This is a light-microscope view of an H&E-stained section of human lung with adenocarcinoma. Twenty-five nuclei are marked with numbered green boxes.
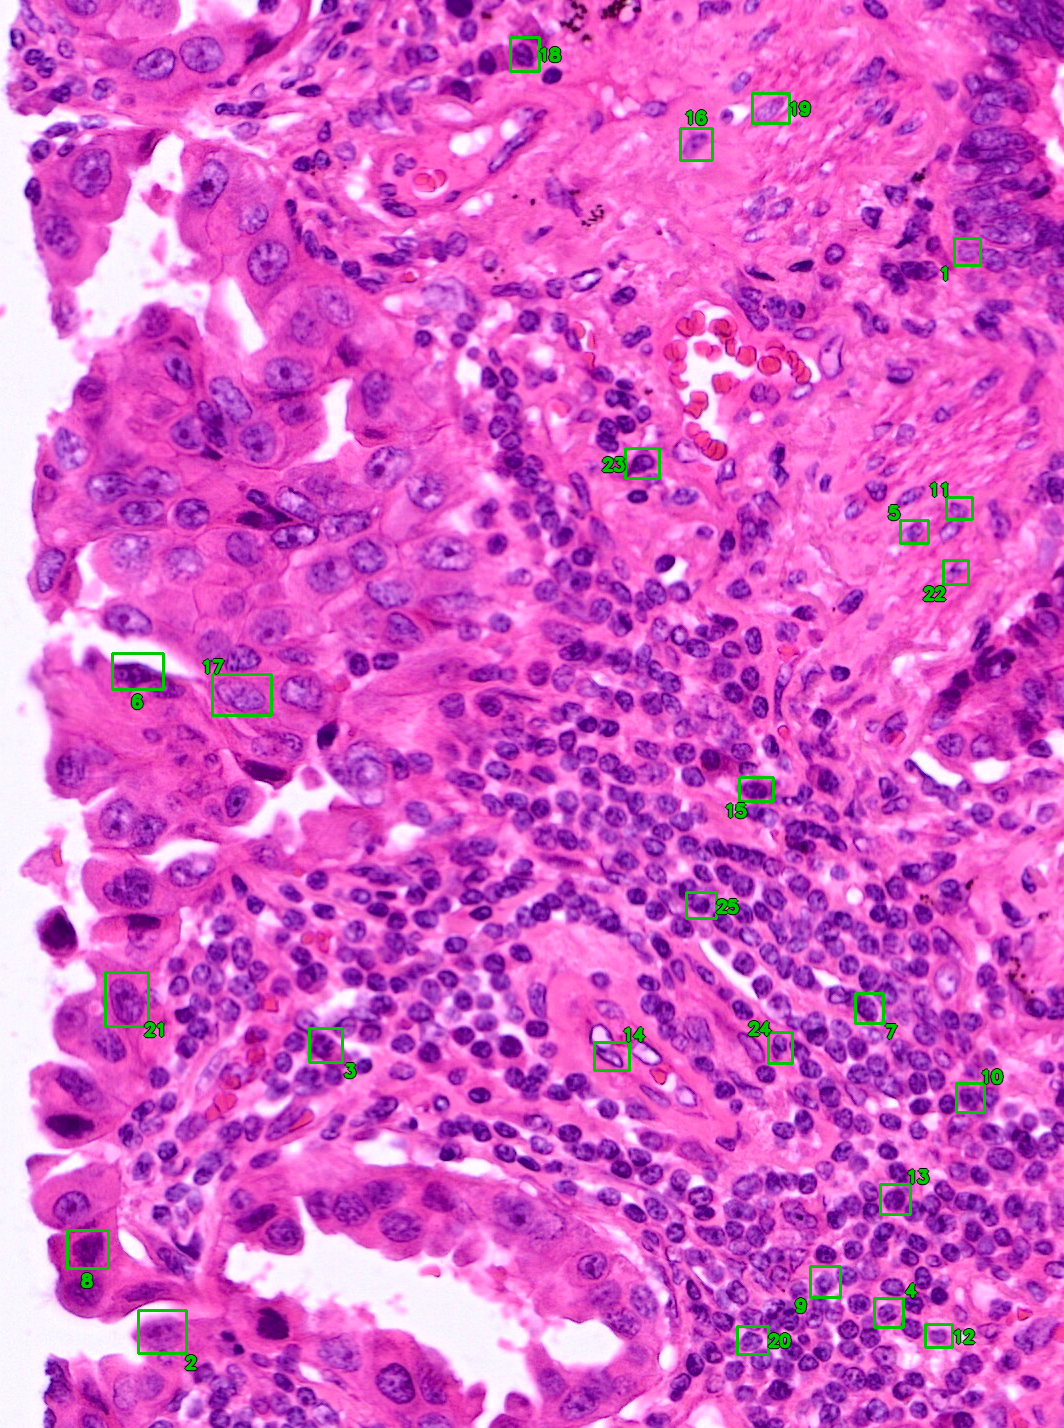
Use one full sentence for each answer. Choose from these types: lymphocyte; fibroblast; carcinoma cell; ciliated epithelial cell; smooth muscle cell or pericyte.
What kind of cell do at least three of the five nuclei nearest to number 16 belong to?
The majority of the five nuclei closest to number 16 belong to smooth muscle cells or pericytes.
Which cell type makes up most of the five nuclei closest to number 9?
Of the five nuclei nearest to number 9, most belong to lymphocytes.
